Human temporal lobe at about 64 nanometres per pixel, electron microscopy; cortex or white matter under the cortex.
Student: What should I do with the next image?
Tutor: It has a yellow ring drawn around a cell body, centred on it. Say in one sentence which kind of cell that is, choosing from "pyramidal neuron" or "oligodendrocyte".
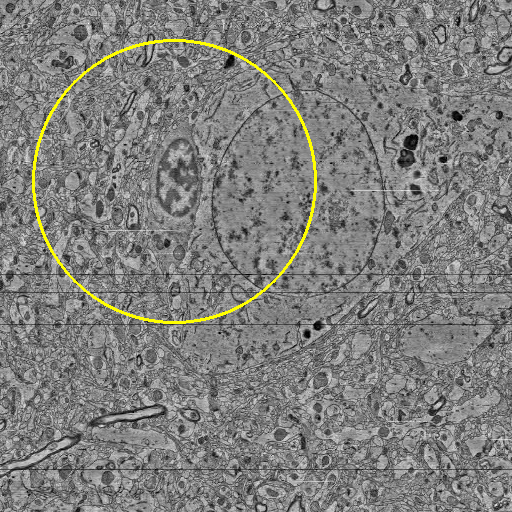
The ring's centre is occupied by an oligodendrocyte.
